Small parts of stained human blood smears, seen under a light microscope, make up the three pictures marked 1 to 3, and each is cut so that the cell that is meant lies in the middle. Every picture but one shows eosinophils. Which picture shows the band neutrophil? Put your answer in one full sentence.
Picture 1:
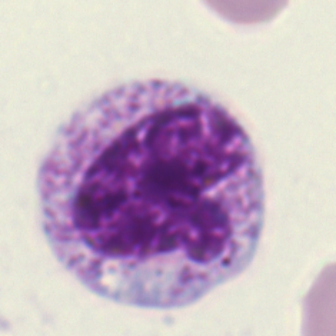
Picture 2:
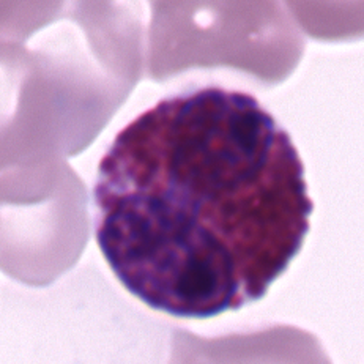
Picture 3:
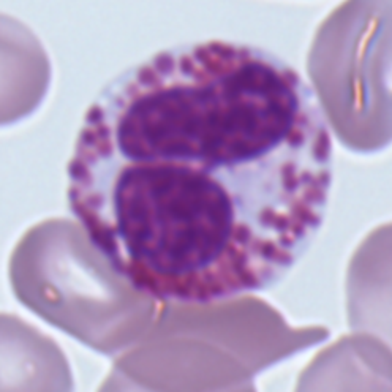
The band neutrophil is the one in picture 1.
